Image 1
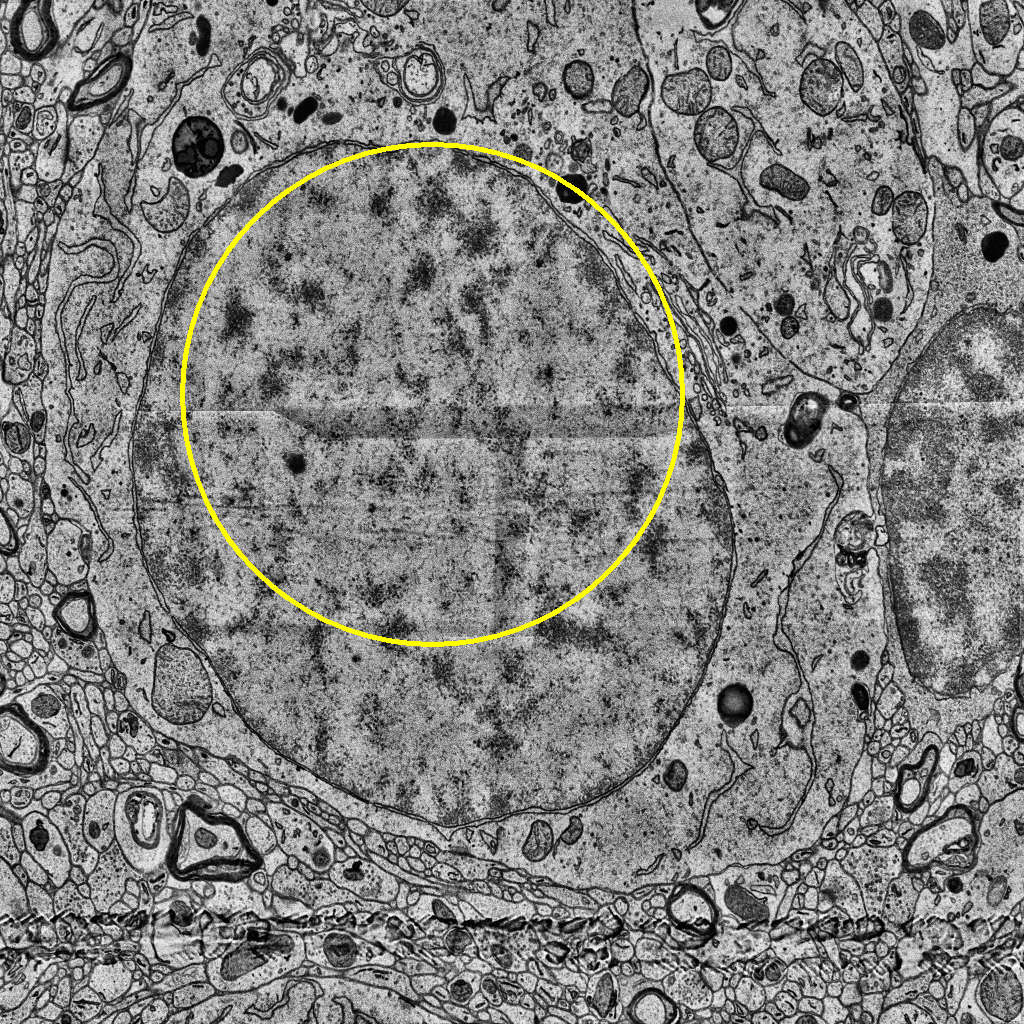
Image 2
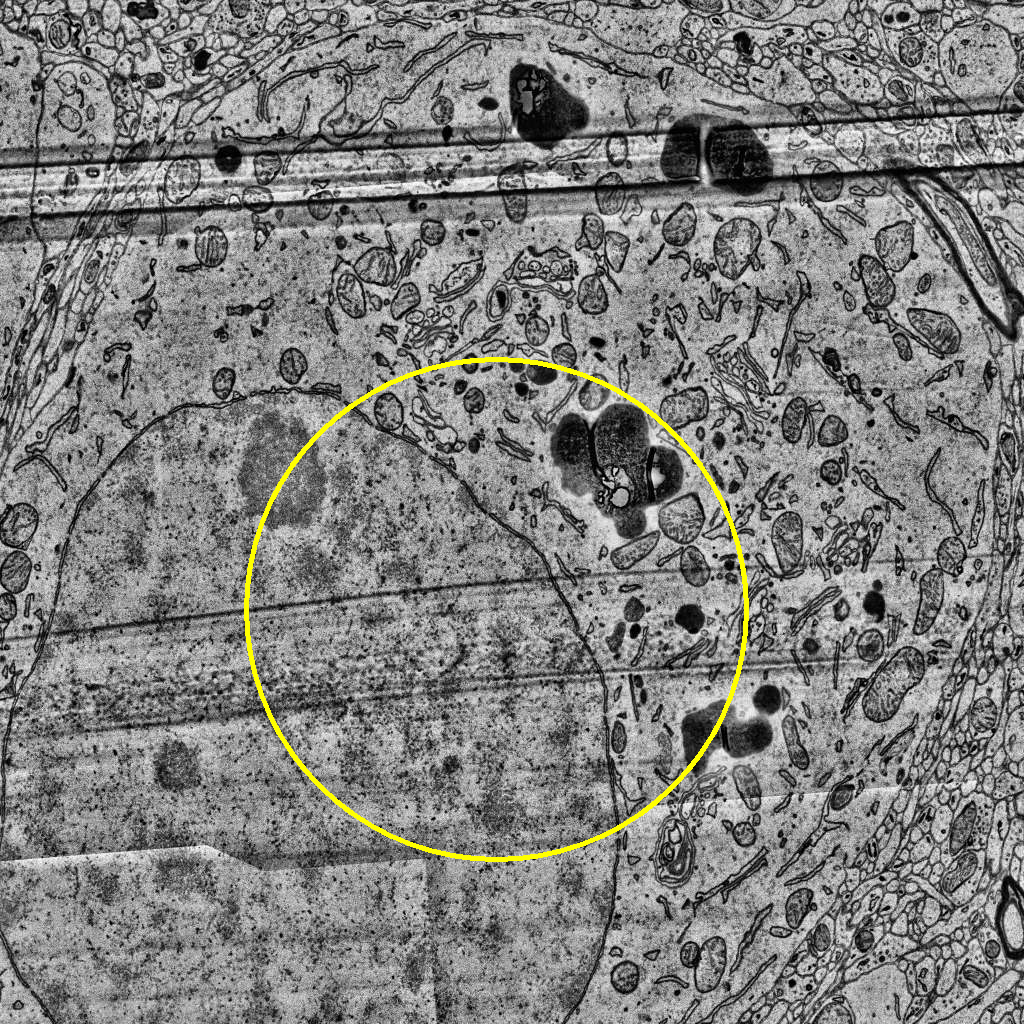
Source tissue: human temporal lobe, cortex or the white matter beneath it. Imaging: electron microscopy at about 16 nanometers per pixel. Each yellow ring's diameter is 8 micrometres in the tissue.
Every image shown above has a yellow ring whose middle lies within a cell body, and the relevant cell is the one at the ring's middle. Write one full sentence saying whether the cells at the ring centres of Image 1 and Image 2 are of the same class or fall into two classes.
The cell at the ring's centre in Image 1 and its counterpart in Image 2 are of the same class.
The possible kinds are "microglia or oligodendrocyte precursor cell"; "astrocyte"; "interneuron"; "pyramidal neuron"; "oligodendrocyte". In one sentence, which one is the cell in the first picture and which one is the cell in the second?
Both rings mark an interneuron, one in each picture.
